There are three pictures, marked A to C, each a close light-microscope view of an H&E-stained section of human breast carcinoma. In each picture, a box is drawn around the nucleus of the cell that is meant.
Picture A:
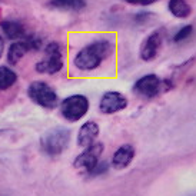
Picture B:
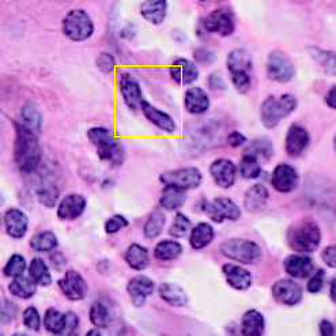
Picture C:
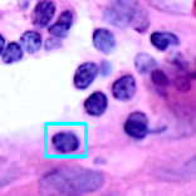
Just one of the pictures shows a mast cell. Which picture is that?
A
